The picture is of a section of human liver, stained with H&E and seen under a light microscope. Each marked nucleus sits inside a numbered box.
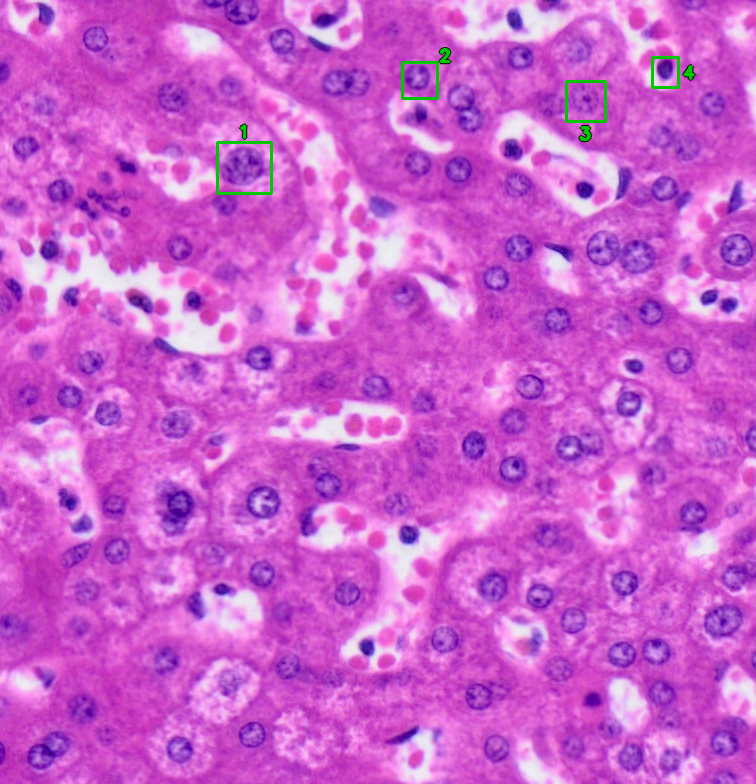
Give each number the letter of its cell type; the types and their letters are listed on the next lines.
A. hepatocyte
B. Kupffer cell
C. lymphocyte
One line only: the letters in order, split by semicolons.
A; A; A; C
